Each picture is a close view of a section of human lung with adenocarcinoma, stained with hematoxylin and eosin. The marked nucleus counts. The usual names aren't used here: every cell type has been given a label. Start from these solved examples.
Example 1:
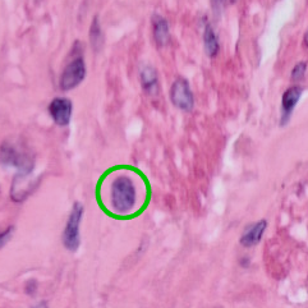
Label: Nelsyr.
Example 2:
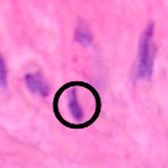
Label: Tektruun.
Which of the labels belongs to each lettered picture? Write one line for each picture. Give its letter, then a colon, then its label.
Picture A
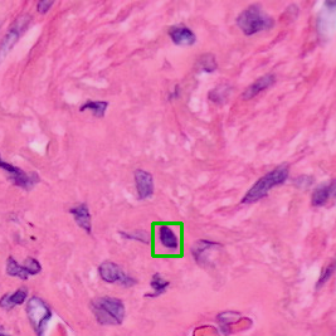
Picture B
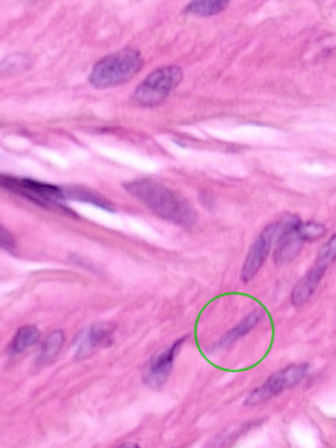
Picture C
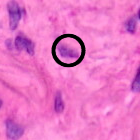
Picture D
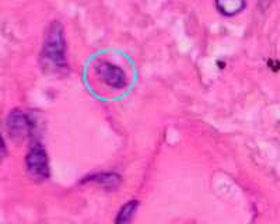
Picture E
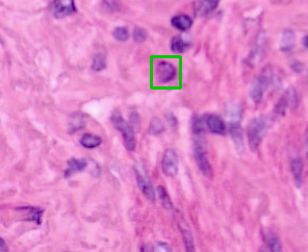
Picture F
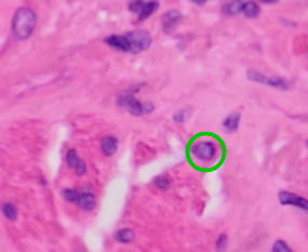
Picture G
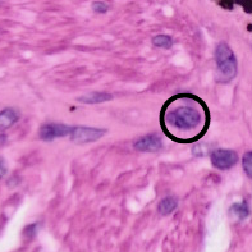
A: Nelsyr.
B: Tektruun.
C: Tektruun.
D: Nelsyr.
E: Nelsyr.
F: Nelsyr.
G: Nelsyr.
